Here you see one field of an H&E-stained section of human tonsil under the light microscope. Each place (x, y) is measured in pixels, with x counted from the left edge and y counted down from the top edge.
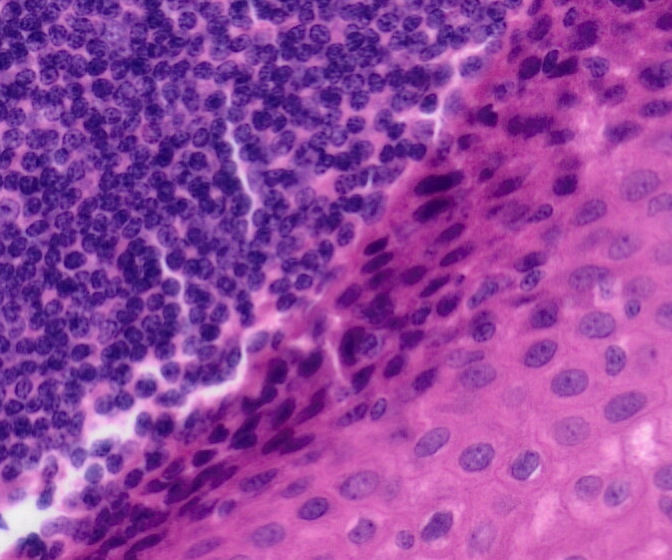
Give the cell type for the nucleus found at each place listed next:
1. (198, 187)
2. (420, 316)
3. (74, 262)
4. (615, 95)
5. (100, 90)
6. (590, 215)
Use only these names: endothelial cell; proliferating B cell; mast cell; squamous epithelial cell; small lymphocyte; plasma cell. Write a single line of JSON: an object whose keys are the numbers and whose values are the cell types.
{"1": "small lymphocyte", "2": "squamous epithelial cell", "3": "small lymphocyte", "4": "squamous epithelial cell", "5": "small lymphocyte", "6": "squamous epithelial cell"}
